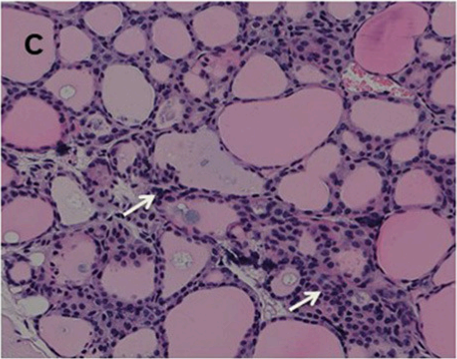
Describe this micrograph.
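Thyroid tissue with many round follicles of varying size, each lined by a single layer of cuboidal cells with round purple nuclei and filled with pink colloid; some lumens show paler, vacuolated colloid. Between follicles, especially toward the lower middle, small dark round nuclei are packed densely in the interstitium, forming clusters that blur the borders of neighbouring follicles. These crowded collections of small cells stand out against the orderly single-layered follicular epithelium, and are consistent with dense micro infiltrates within the gland.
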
